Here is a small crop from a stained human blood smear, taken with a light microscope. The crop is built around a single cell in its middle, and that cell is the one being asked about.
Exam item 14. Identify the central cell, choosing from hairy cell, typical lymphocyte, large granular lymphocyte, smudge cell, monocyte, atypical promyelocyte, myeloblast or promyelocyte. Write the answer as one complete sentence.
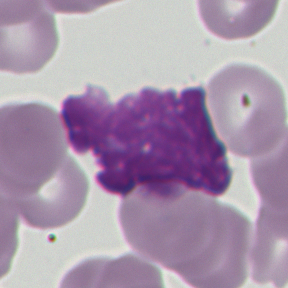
The cell centered in this field of view is a smudge cell.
